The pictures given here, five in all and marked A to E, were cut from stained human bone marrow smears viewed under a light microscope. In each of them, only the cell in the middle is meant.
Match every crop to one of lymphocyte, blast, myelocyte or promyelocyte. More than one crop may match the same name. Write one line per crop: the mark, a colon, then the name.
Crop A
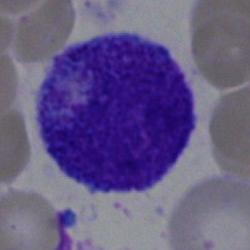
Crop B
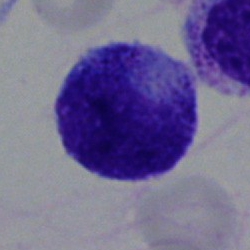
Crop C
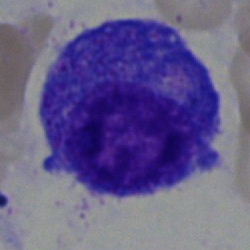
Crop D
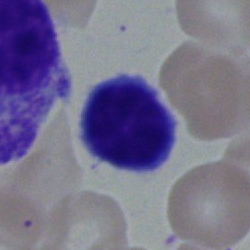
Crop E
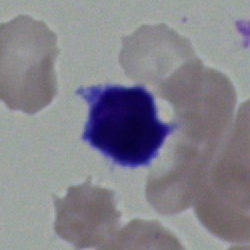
A: promyelocyte
B: promyelocyte
C: promyelocyte
D: lymphocyte
E: lymphocyte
